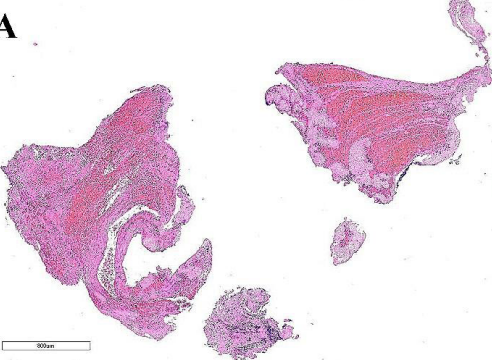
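This low-power view shows fragments of a thrombus made of fibrin/platelet aggregates and red blood cells. Two large irregular fragments and a few small ones lie on the slide. Within them, bright red areas of packed red blood cells run as streaks and patches, interleaved with paler pink, finely layered material of fibrin and platelet aggregates. The layering gives a wavy, laminated appearance, especially in the upper right fragment. Scattered dark purple dots, likely nuclei of white blood cells, are seen along the edges and in the small lower fragment. Individual cells cannot be told apart at this magnification; only the architecture of the clot is seen.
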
